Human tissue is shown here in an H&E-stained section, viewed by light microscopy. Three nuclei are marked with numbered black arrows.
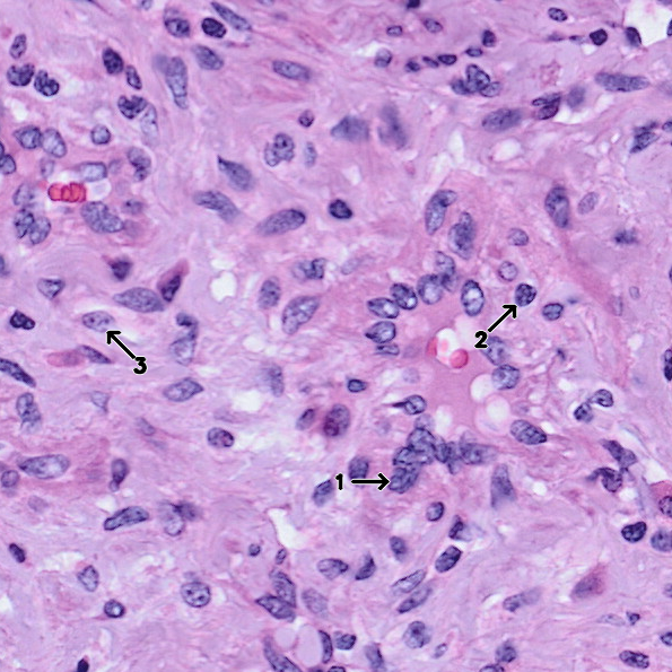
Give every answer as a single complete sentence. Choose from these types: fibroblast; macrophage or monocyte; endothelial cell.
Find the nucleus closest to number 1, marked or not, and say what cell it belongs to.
The cell nearest to number 1 is an endothelial cell.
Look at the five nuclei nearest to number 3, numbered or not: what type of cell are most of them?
The majority of the five nuclei closest to number 3 belong to fibroblasts.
